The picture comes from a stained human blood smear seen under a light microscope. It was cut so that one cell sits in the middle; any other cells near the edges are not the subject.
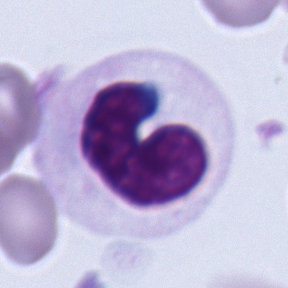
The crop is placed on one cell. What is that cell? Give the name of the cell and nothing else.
band neutrophil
